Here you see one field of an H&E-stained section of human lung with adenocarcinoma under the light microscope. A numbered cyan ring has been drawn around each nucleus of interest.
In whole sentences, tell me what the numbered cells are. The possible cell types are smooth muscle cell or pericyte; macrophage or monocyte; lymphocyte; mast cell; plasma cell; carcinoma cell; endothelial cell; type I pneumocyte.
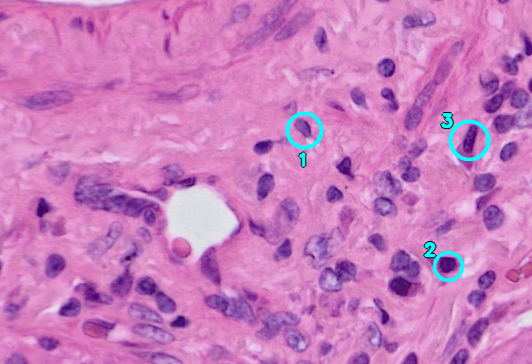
Cell 1 is a lymphocyte. Cells 2 and 3 are plasma cells.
